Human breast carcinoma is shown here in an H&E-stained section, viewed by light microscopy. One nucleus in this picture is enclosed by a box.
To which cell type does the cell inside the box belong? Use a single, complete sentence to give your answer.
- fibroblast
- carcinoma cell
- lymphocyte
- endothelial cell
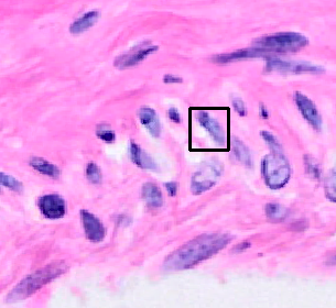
In terms of identity, the cell inside the box is an endothelial cell.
